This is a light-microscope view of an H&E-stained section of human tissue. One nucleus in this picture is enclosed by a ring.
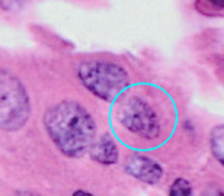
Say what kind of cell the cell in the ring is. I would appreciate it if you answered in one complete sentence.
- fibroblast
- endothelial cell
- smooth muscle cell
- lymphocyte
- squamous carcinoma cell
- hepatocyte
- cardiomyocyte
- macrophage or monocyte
In this field of tissue, the cell in the ring is a squamous carcinoma cell.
